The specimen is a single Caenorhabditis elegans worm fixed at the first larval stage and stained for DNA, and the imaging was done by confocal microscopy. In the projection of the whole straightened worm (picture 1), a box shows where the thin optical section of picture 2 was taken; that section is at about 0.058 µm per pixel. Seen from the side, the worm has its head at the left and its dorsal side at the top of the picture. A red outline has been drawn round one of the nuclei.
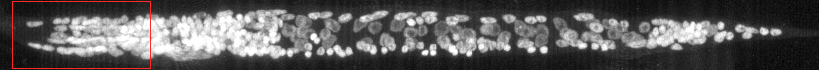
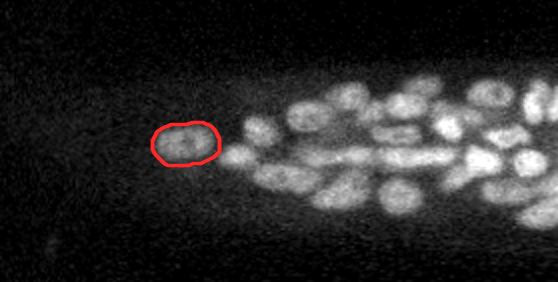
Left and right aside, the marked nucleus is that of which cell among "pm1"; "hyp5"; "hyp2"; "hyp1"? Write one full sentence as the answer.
It is the nucleus of hyp5, a hypodermal cell (hyp).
